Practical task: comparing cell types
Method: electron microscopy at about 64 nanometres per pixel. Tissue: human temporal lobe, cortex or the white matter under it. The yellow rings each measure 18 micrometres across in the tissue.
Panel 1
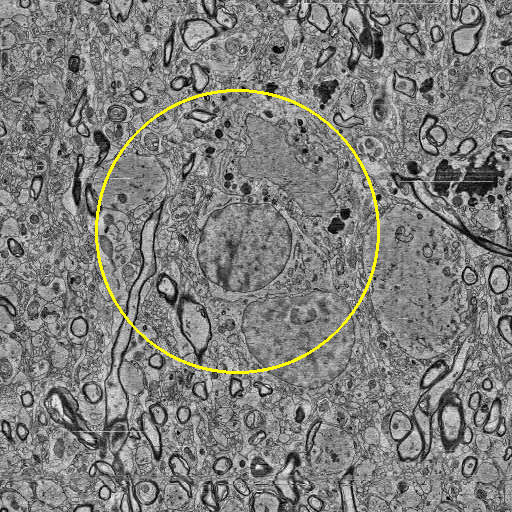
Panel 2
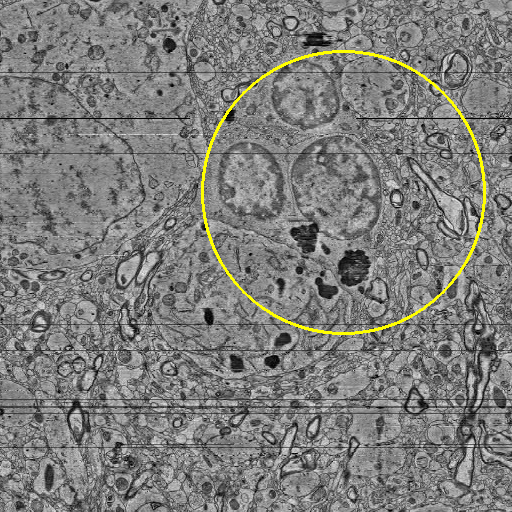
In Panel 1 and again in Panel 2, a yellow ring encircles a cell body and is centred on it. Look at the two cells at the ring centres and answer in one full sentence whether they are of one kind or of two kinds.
The two cells sitting at the ring centres of Panels 1 and 2 are of two kinds.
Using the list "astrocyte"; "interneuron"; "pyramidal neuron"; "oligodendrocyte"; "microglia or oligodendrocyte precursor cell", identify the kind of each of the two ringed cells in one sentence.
The first is a microglial cell or oligodendrocyte precursor cell and the second is an oligodendrocyte.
